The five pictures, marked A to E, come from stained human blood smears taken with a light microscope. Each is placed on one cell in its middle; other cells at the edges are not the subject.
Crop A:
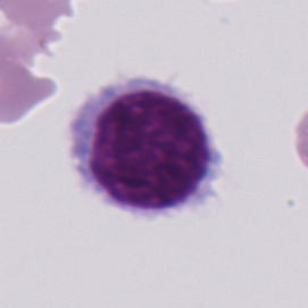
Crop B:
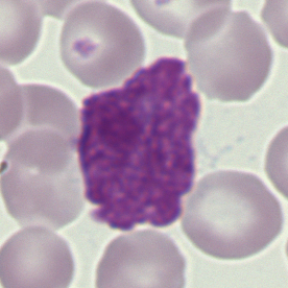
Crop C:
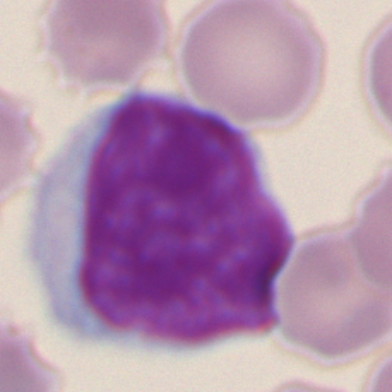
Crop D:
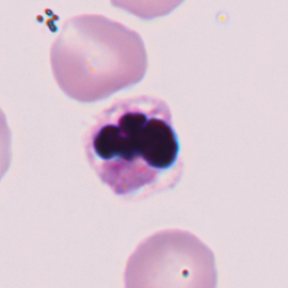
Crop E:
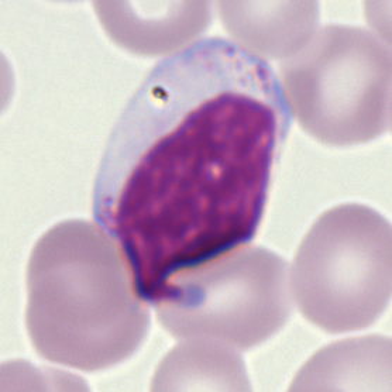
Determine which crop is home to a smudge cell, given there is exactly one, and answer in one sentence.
The crop that has a smudge cell in the middle is crop B.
